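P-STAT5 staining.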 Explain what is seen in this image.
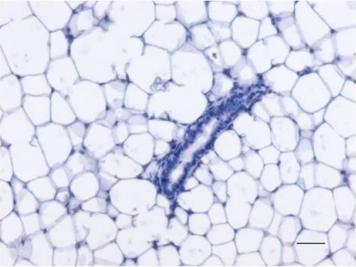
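Mammary gland tissue in which a small elongated duct, lined by epithelial cells with dark blue nuclei, lies among large, empty, polygonal fat cells. Only the blue counterstain is seen, with no brown staining of the duct or of the fat cells.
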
